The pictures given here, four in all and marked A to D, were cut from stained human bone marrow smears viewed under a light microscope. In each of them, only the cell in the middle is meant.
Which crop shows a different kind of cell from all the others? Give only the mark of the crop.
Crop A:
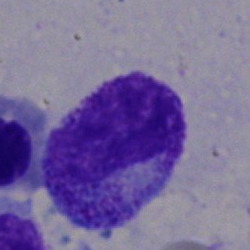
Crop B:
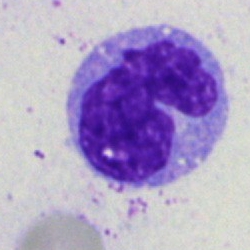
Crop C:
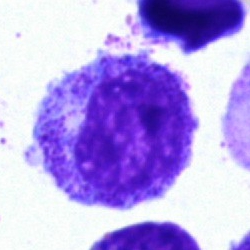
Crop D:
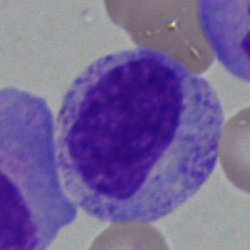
B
